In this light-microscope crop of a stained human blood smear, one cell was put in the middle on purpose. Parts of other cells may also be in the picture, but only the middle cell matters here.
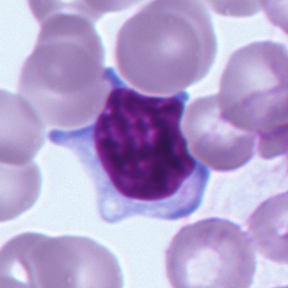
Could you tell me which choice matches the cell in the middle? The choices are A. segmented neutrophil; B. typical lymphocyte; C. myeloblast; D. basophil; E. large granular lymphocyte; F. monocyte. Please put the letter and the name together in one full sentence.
It is a typical lymphocyte that occupies the centre of the crop, so option B is correct.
